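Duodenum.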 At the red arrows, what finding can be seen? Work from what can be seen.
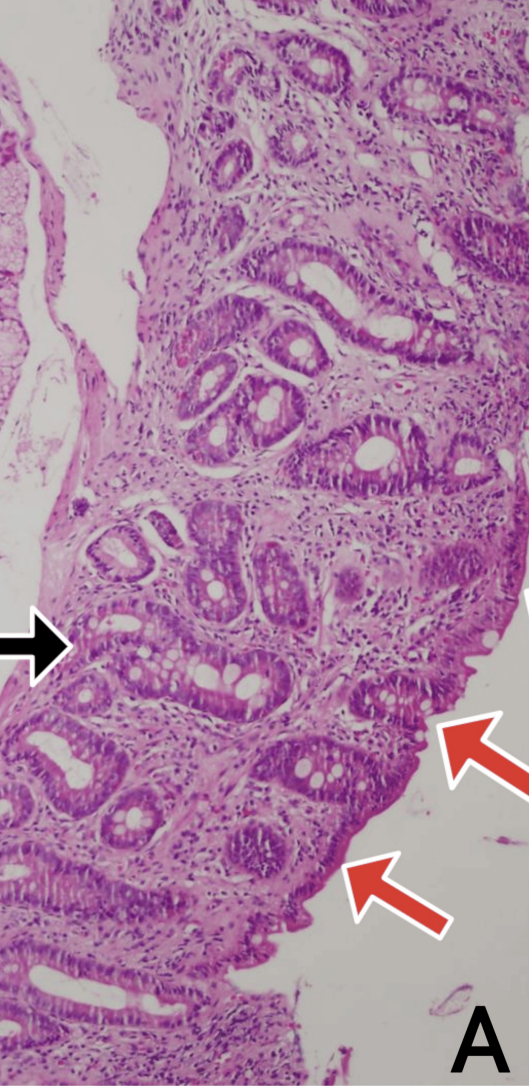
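The mucosal surface at the red arrows is flat, lined by a single epithelial layer. No finger-like villi project from the surface.
Answer: villus atrophy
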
